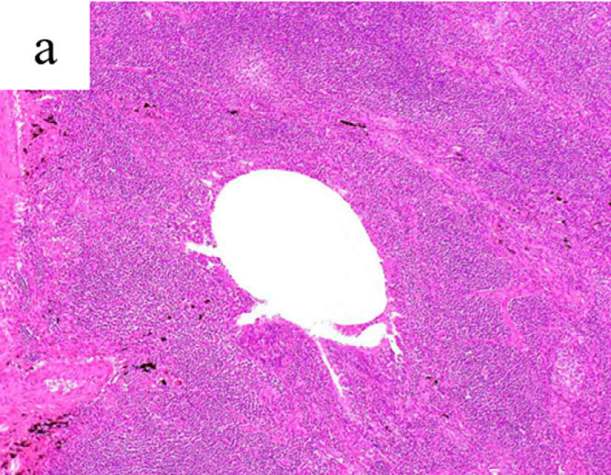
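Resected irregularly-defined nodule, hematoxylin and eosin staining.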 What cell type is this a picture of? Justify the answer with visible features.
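Dense, diffuse sheets of small dark-blue cells fill the tissue. The cells crowd around an empty airway-like lumen.
Answer: infiltrating lymphocytes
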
